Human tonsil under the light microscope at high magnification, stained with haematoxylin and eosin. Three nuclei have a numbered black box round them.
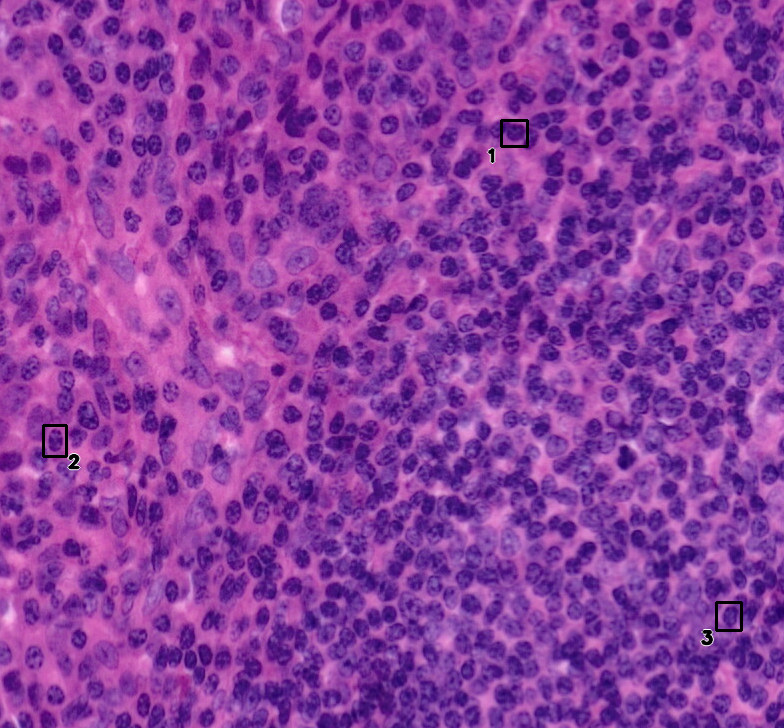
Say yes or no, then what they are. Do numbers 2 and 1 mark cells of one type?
Yes, note that cells 2 and 1 are both plasma cells.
